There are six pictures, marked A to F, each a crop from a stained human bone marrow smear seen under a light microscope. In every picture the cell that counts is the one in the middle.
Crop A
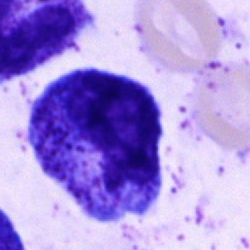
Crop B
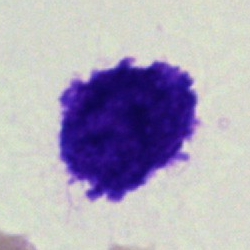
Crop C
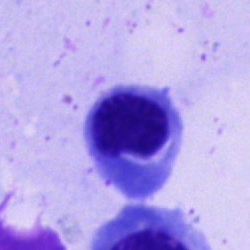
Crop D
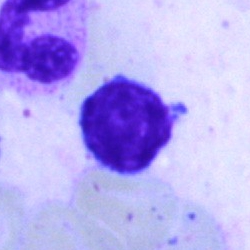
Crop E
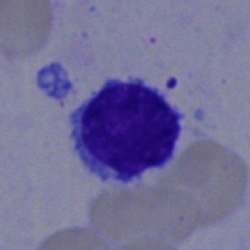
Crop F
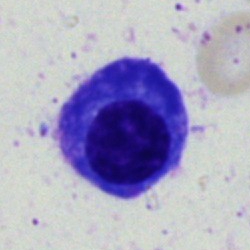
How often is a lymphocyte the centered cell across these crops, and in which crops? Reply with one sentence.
Represented by two crops, D and E, are lymphocytes.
